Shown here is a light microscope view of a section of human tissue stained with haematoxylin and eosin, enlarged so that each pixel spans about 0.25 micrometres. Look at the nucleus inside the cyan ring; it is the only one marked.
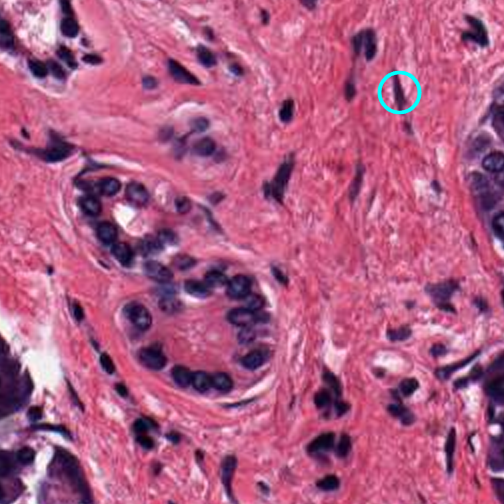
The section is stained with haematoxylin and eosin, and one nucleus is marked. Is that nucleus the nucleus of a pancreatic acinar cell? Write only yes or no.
no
